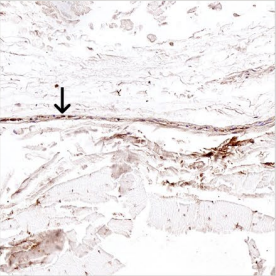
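A loose, fragmented fibrous tissue fills the field, with pale, frayed collagen strands and clefts between them. Running horizontally across the middle is a single thin, continuous line of brown-stained tissue, only a cell or two thick, bordering a cleft. Other brown stain is patchy and lies in small clumps below this line.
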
